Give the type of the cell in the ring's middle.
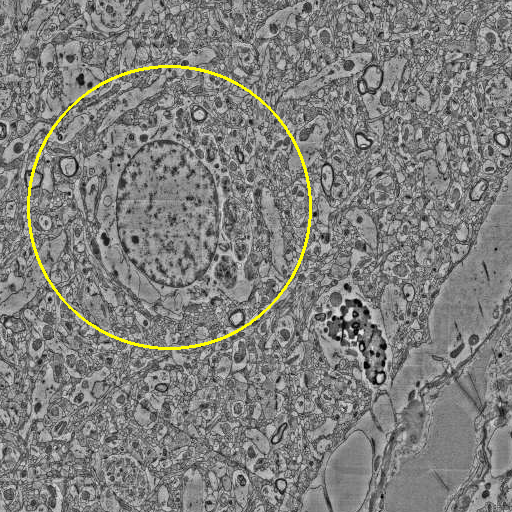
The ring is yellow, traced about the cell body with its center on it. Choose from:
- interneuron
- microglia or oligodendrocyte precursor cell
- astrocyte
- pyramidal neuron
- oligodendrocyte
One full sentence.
Here, an astrocyte is the cell lying at the center of the yellow ring.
